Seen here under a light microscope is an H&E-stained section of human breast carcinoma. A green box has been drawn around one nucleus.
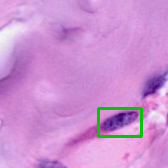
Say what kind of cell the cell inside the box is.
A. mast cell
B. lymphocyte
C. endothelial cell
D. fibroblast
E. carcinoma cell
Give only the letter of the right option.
A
